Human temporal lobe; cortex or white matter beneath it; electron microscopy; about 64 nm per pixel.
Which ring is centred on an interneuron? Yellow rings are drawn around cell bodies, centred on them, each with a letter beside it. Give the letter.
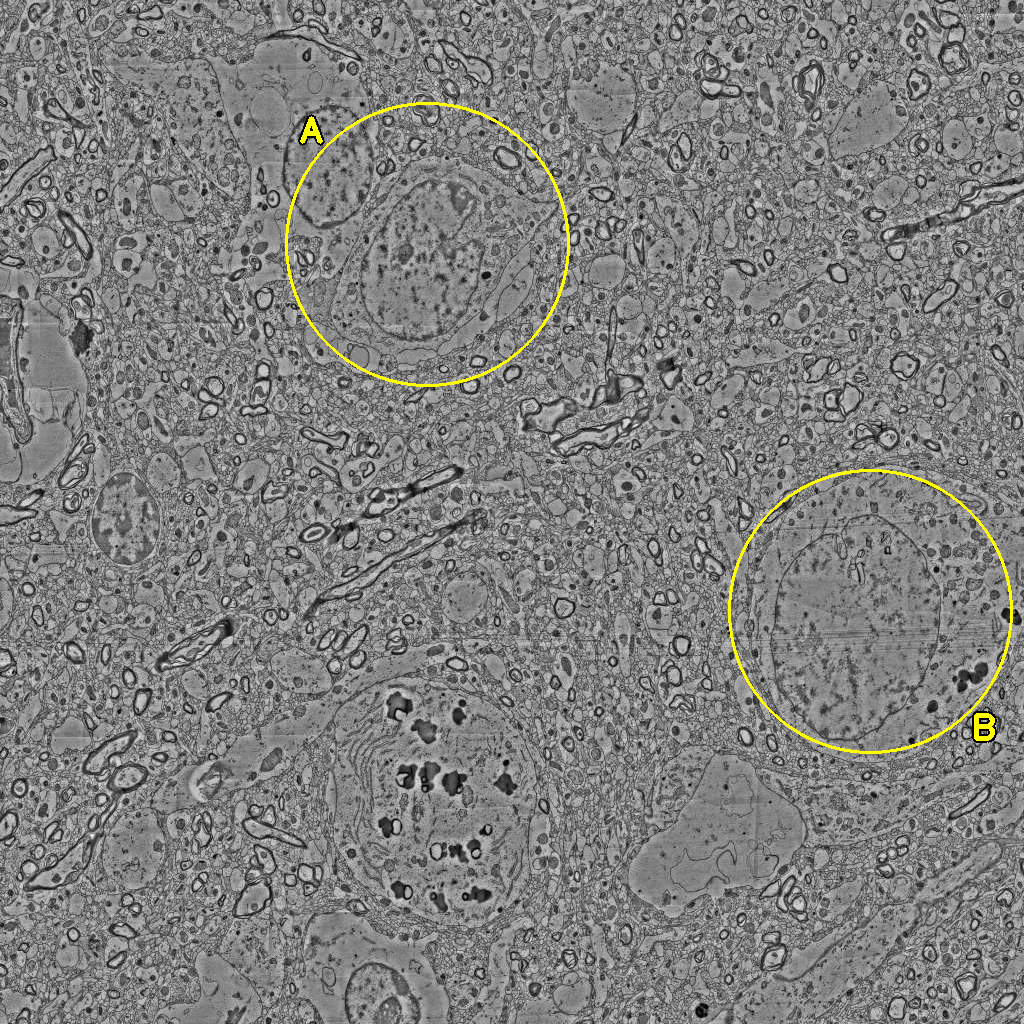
A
